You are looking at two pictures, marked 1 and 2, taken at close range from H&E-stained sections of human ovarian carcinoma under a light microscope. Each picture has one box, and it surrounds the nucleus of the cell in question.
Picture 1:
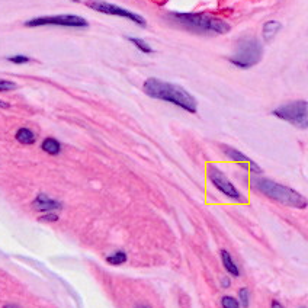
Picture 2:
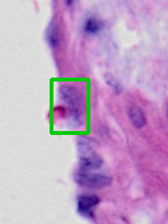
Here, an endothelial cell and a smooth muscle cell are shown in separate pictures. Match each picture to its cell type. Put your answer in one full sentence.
It is picture 1 that shows a smooth muscle cell, and picture 2 that shows an endothelial cell.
